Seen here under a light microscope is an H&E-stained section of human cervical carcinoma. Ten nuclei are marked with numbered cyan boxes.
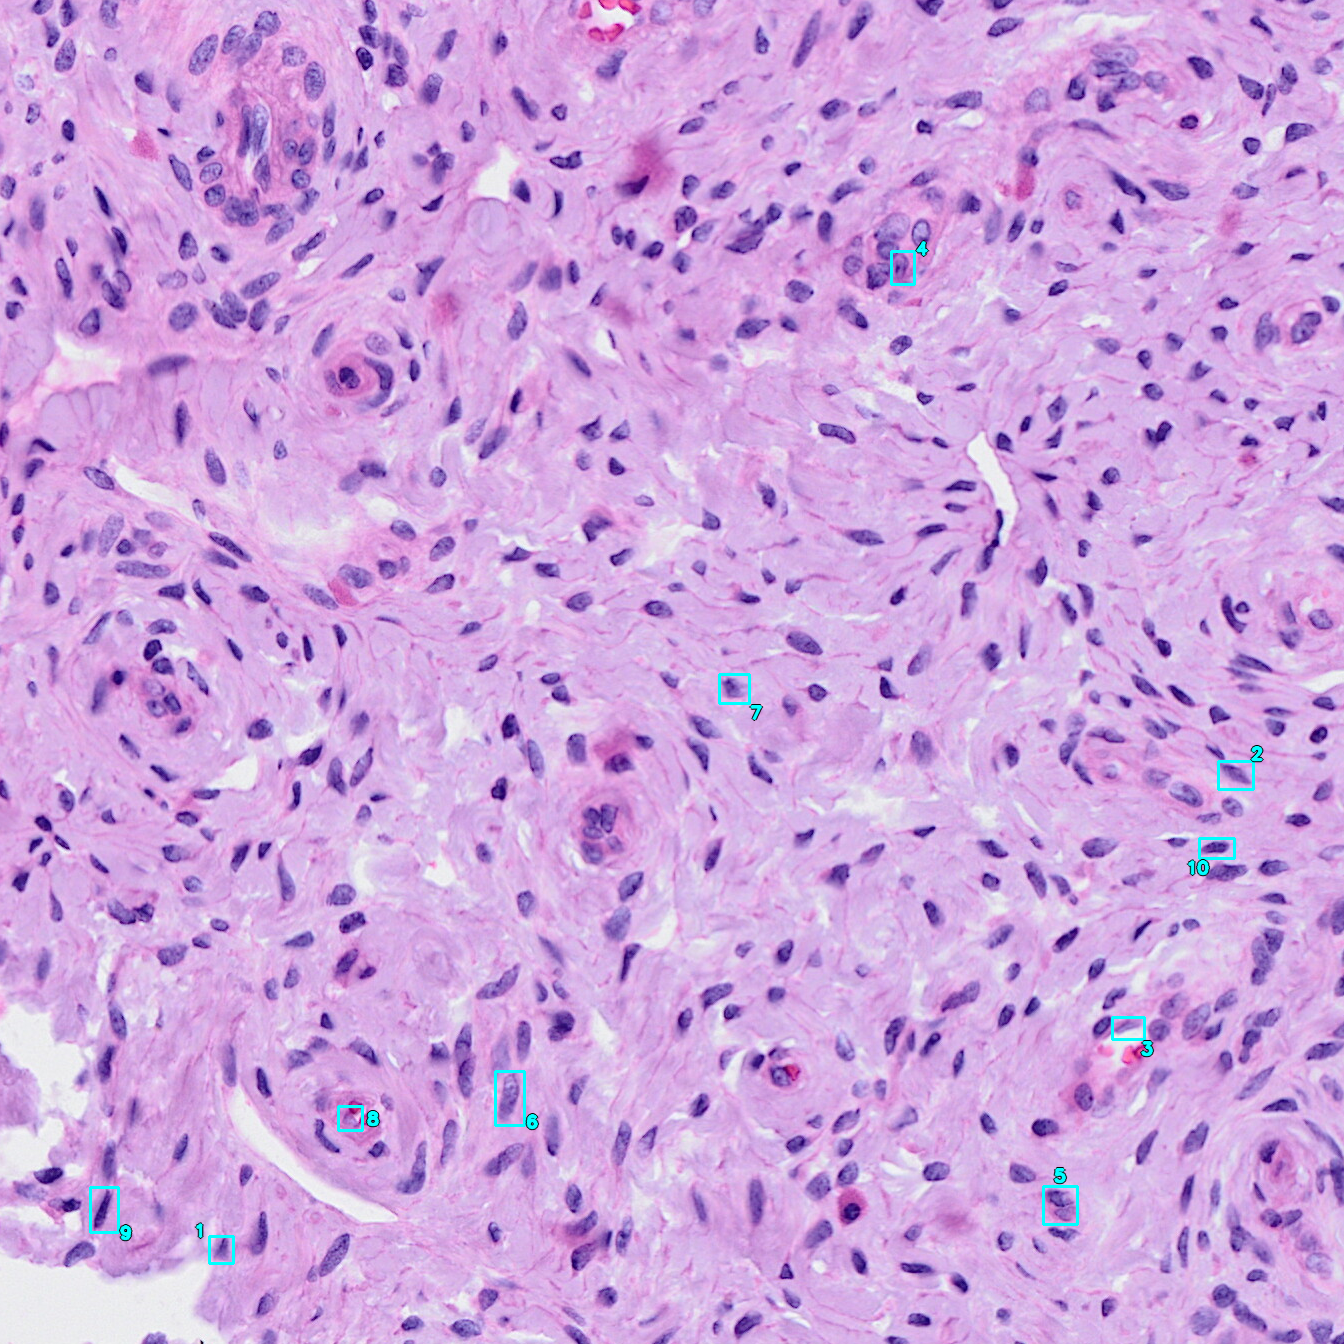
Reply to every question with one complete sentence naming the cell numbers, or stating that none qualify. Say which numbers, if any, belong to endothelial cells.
The cells that have been numbered 3, 4, 5 and 8 are endothelial cells.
